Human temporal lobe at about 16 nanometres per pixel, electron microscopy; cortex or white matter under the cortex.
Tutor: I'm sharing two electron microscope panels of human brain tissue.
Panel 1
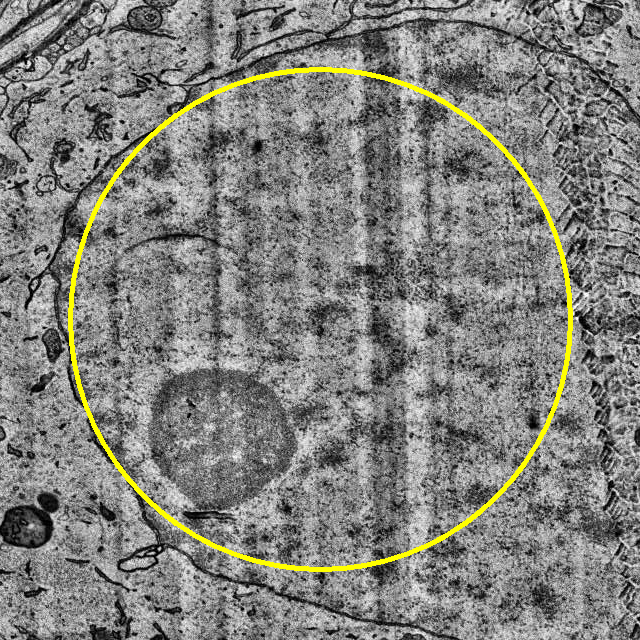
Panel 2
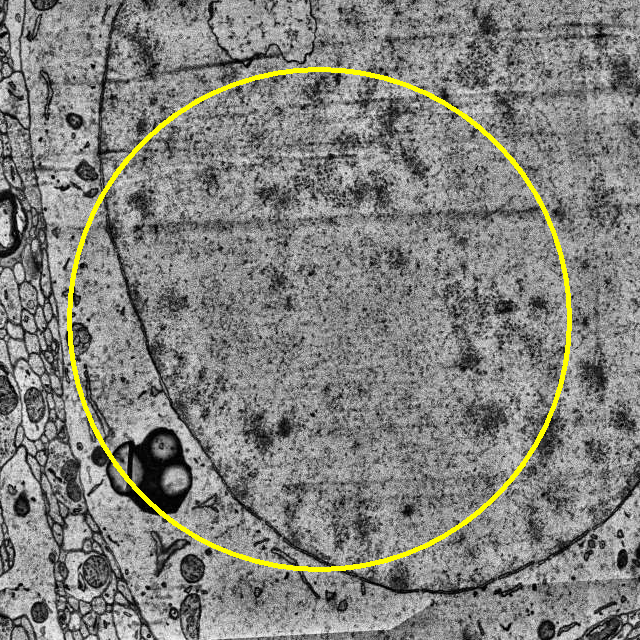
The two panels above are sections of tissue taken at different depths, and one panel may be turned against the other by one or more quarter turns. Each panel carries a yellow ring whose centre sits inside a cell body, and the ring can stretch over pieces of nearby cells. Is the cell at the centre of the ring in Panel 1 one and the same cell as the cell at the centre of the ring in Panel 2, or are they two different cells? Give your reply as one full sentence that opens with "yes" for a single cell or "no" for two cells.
No, a different cell sits inside each of the two rings.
